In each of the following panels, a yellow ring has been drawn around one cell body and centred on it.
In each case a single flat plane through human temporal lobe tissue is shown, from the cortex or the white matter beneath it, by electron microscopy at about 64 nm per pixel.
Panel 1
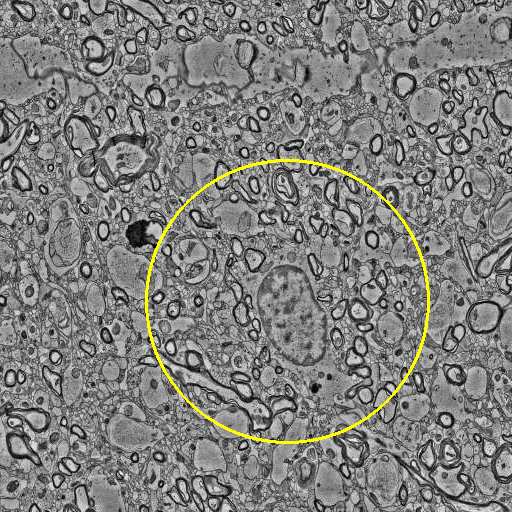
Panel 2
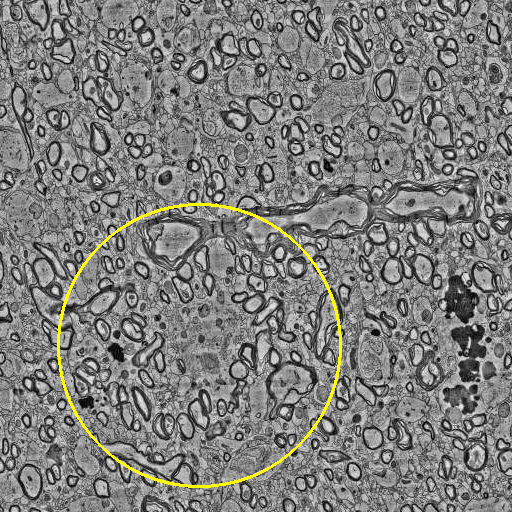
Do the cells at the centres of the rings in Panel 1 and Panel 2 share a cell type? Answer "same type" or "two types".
same type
